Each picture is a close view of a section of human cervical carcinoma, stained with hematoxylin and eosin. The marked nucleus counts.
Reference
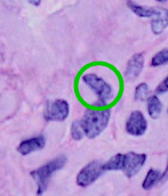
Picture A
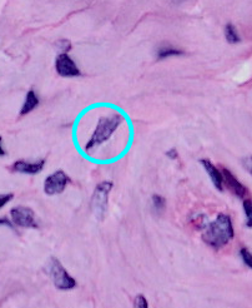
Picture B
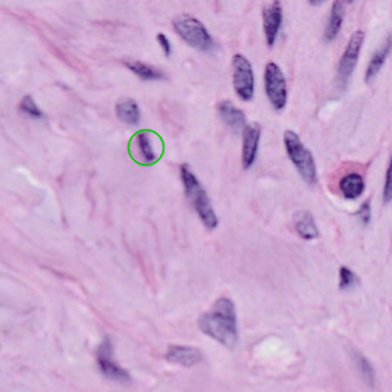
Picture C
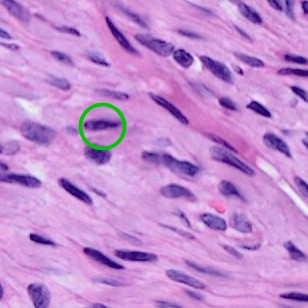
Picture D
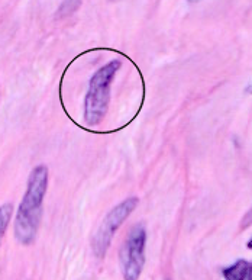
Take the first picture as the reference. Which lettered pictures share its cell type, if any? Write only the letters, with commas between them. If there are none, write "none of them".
A, B, C, D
